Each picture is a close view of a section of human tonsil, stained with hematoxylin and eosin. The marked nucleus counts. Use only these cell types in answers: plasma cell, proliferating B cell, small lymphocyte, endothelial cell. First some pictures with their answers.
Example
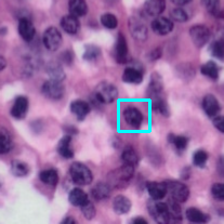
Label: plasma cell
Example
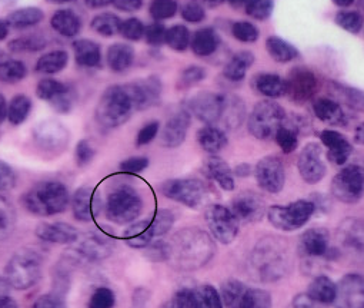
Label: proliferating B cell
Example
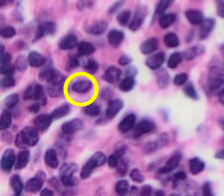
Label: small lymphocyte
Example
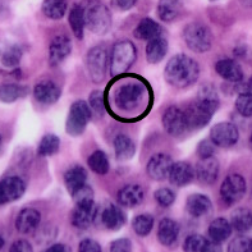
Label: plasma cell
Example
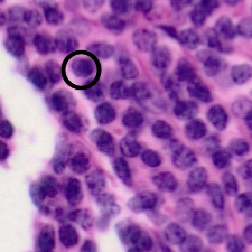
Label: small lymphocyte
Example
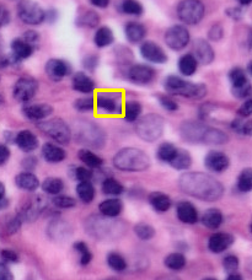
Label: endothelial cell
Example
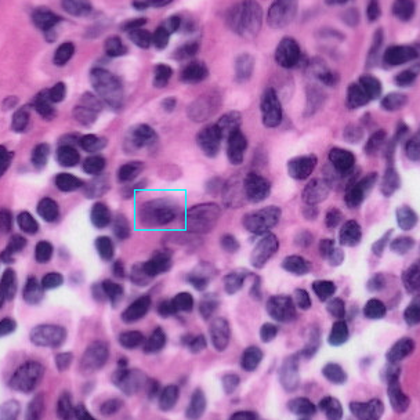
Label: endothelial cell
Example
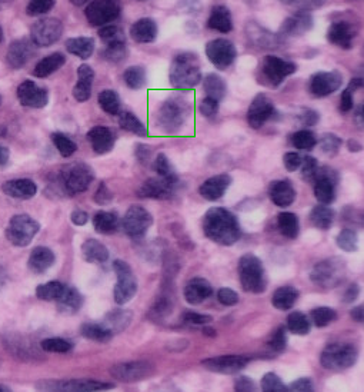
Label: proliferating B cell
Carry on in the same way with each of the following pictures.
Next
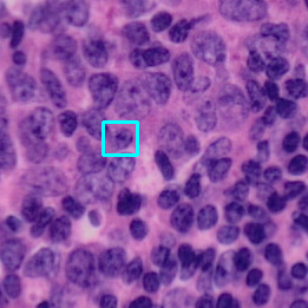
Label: proliferating B cell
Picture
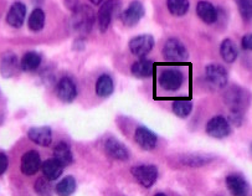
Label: plasma cell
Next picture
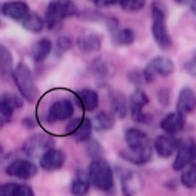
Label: small lymphocyte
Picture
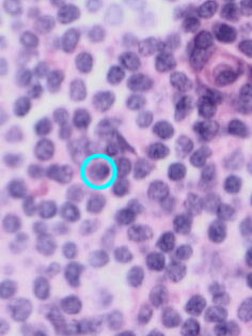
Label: small lymphocyte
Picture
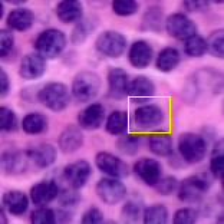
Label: small lymphocyte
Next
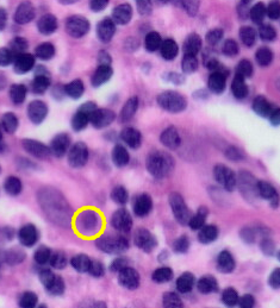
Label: endothelial cell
